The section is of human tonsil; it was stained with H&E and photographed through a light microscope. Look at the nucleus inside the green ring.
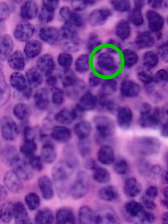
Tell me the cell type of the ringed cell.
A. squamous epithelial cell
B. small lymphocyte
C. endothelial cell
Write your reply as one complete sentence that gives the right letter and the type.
The proper choice here is B: the ringed cell is a small lymphocyte.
